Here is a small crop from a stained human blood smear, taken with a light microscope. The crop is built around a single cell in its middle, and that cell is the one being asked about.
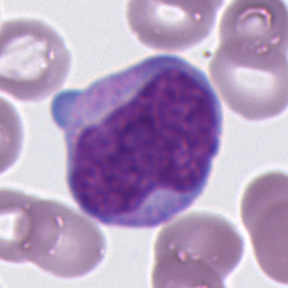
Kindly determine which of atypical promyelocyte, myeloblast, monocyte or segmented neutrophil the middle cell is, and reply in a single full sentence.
In the crop, the cell of interest at the centre is an atypical promyelocyte.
